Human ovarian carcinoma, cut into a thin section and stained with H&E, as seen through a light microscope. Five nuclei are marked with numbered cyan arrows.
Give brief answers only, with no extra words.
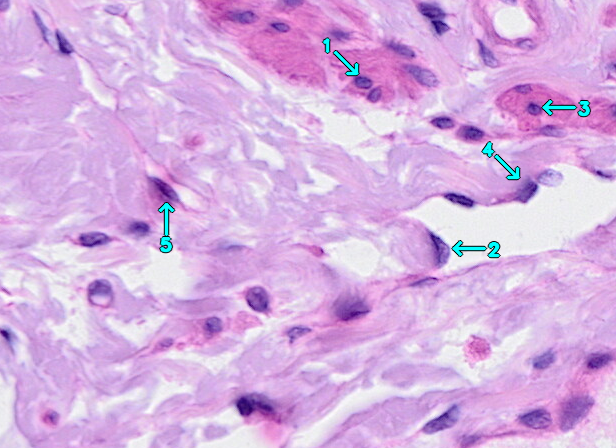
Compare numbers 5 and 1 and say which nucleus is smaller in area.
1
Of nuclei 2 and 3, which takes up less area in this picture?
3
